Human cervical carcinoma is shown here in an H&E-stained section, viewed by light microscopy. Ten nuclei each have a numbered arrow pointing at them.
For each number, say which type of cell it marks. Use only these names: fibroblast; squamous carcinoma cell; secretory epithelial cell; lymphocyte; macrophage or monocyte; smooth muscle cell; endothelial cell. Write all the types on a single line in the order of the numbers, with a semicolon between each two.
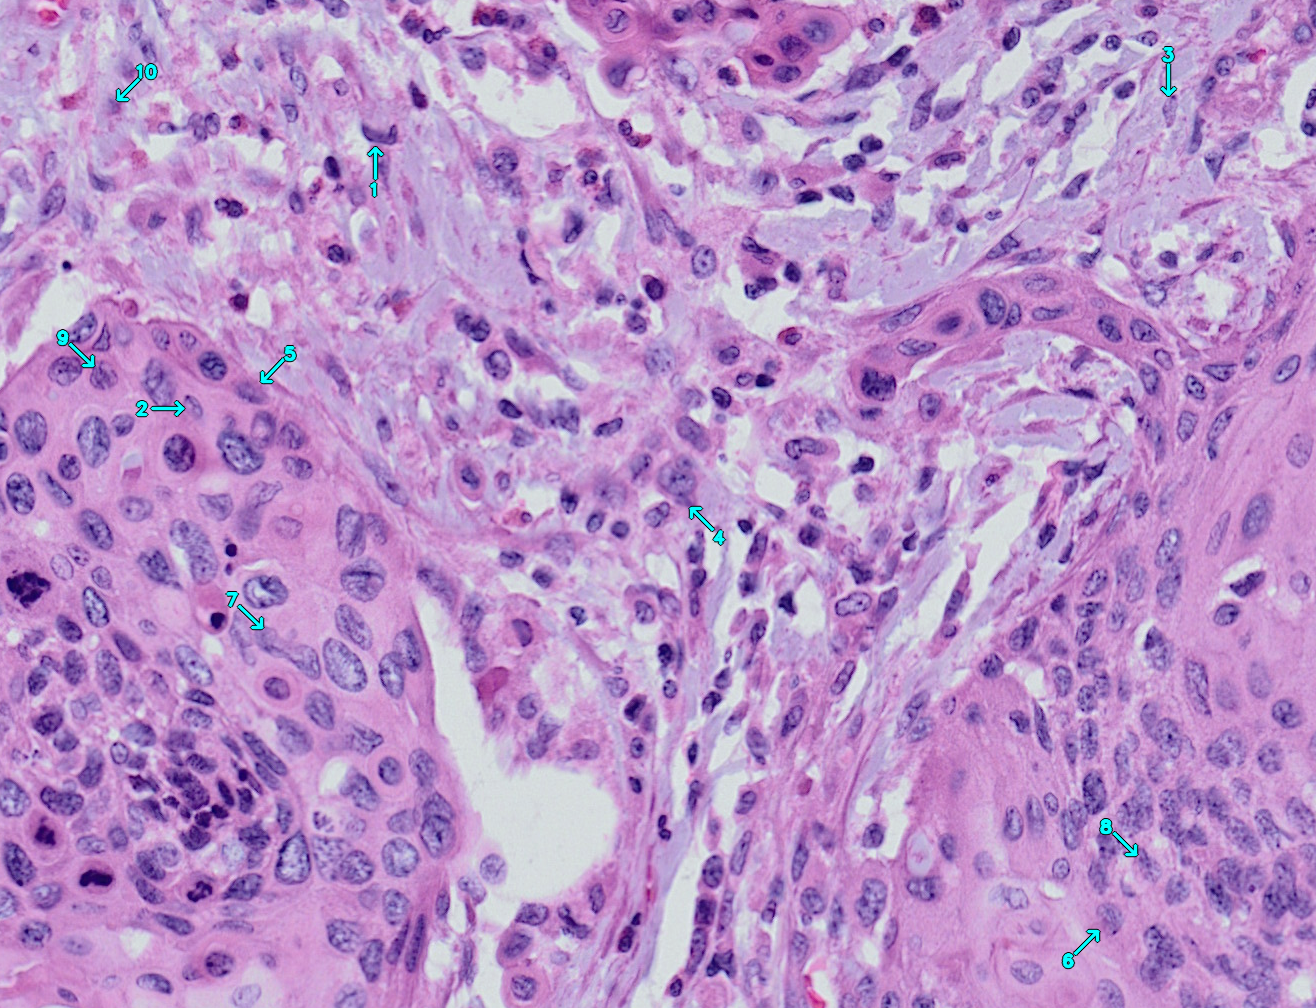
macrophage or monocyte; squamous carcinoma cell; fibroblast; endothelial cell; squamous carcinoma cell; squamous carcinoma cell; squamous carcinoma cell; squamous carcinoma cell; squamous carcinoma cell; fibroblast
